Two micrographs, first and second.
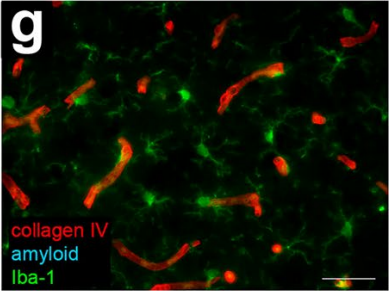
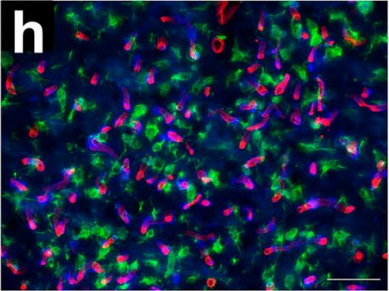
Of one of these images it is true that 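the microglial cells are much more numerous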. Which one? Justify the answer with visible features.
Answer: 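Second image: green cells are densely packed across the field, many next to vessels. First image: green cells are sparse and widely spaced. On this evidence: the second image.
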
